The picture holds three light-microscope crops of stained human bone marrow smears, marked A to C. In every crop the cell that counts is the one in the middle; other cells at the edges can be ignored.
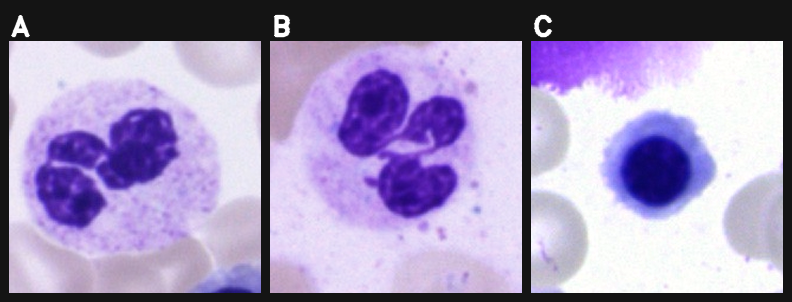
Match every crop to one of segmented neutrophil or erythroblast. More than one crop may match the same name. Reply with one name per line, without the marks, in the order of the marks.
segmented neutrophil
segmented neutrophil
erythroblast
